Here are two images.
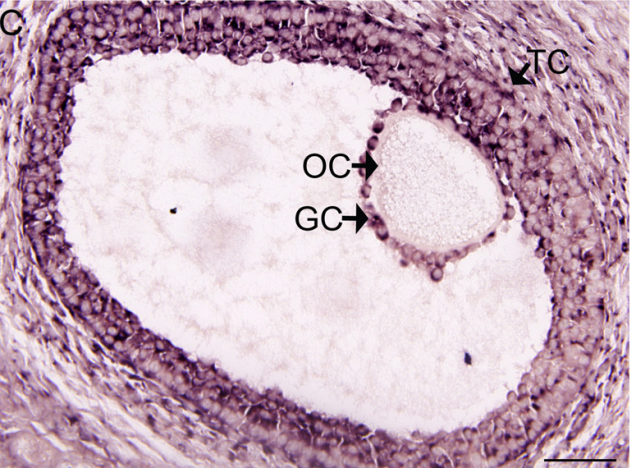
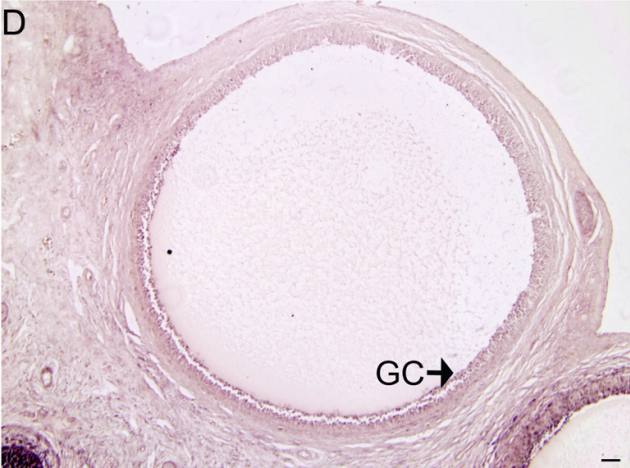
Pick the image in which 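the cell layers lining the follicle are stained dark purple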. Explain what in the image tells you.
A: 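The first image. Second image: the thin cell lining of the cavity is pale, barely tinted. First image: the thick cell wall around the cavity is densely purple.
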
